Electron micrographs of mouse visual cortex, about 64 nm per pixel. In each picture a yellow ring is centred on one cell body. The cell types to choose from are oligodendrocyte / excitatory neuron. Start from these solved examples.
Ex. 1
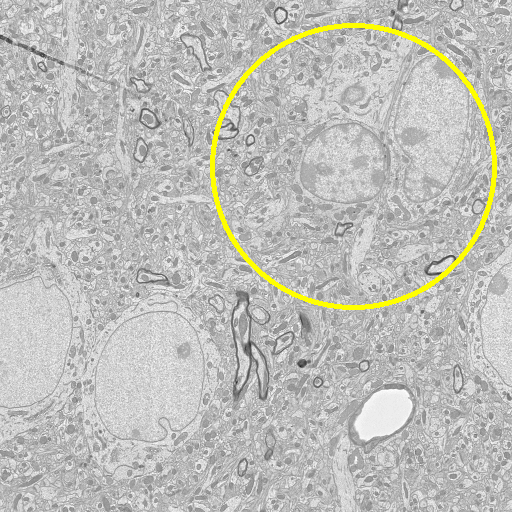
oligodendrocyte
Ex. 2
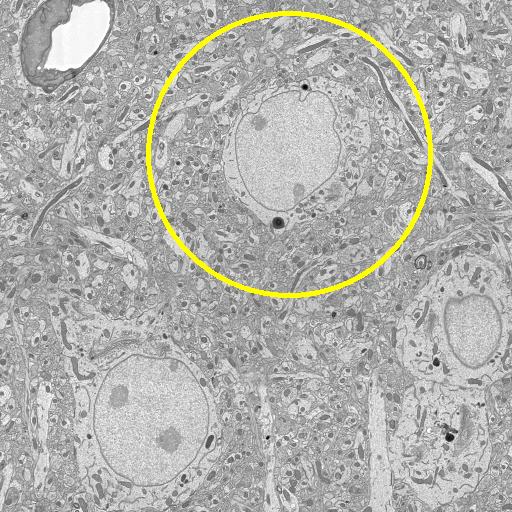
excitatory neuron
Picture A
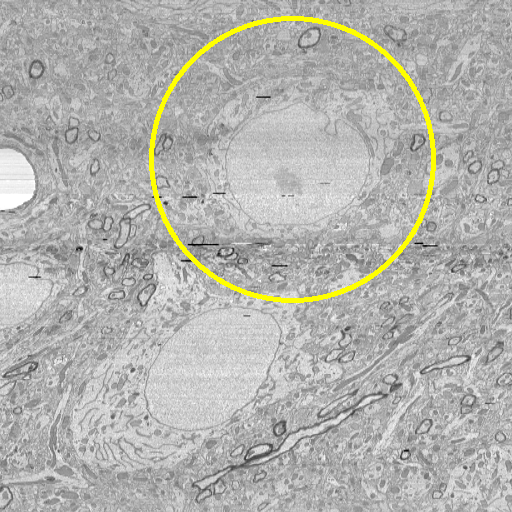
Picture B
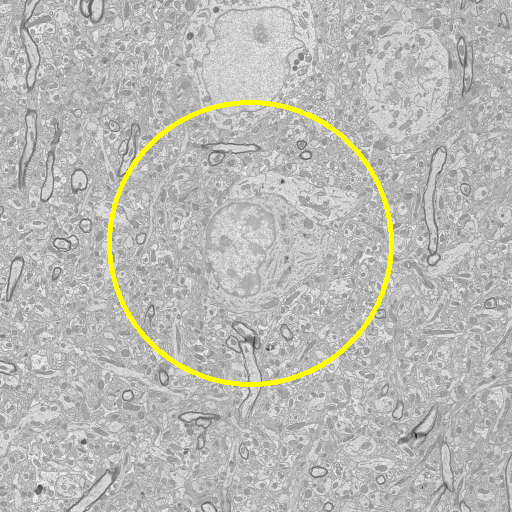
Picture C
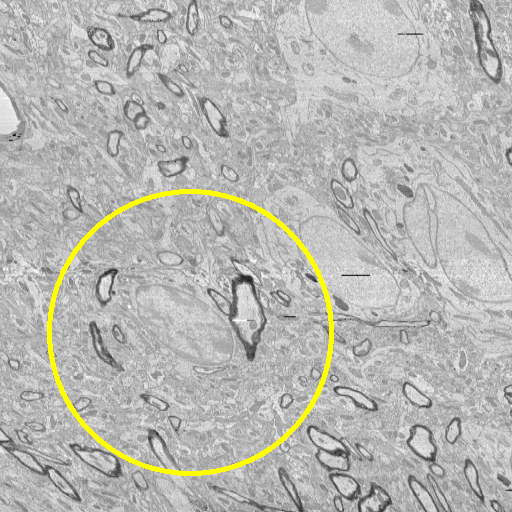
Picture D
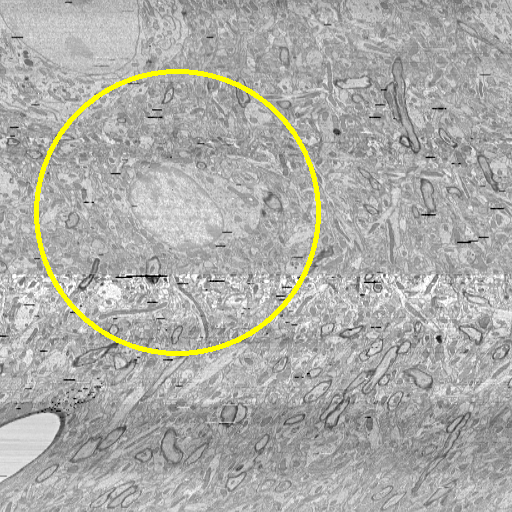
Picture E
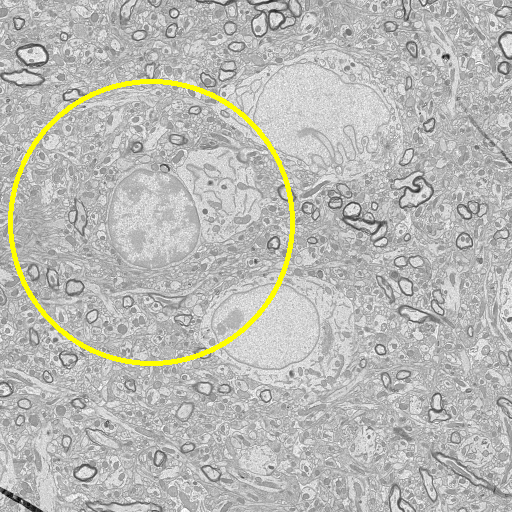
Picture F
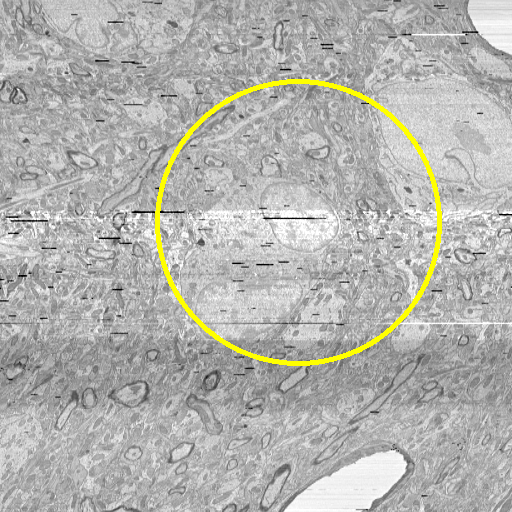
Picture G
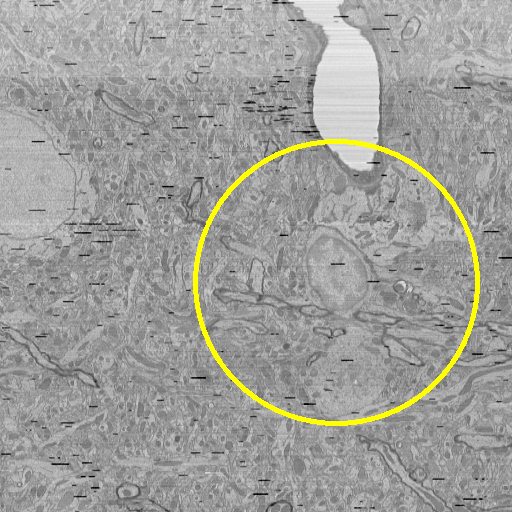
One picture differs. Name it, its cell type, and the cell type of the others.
Different: A, excitatory neuron. Others: oligodendrocyte.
